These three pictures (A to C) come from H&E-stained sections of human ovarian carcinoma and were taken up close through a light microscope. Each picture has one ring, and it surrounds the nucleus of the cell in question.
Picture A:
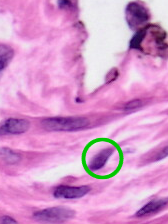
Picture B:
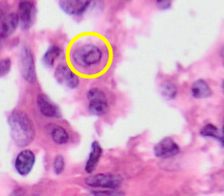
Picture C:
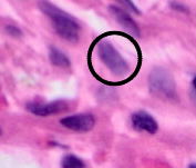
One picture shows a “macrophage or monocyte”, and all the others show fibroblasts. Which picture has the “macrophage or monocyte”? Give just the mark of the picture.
B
